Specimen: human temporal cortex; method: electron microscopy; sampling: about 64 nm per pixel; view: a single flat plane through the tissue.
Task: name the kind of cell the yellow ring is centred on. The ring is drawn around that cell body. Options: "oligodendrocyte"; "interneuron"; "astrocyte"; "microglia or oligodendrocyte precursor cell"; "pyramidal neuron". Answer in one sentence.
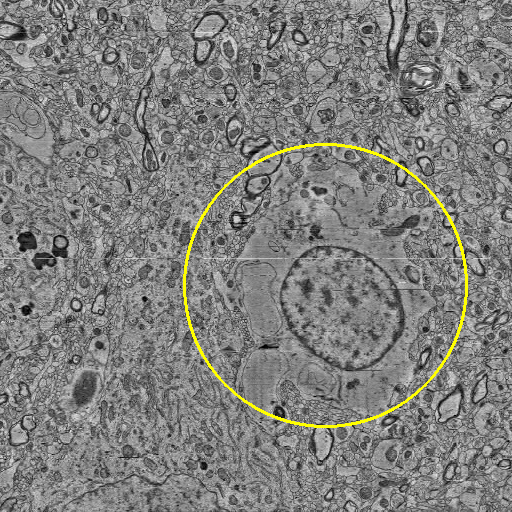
This cell body belongs to an astrocyte.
